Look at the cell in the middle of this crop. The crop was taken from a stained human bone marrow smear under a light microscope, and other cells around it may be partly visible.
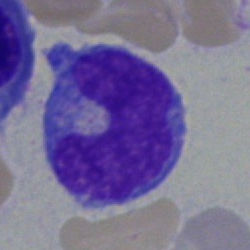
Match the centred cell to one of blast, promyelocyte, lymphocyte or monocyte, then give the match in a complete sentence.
The cell occupying the middle of the crop is a monocyte.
